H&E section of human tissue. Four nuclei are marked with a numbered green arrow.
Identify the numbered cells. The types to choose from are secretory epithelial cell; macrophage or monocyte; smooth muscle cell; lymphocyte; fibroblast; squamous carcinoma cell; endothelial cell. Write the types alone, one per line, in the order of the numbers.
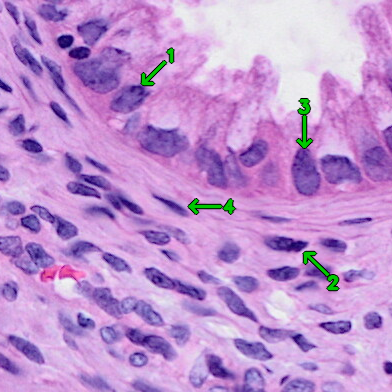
secretory epithelial cell
lymphocyte
secretory epithelial cell
fibroblast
